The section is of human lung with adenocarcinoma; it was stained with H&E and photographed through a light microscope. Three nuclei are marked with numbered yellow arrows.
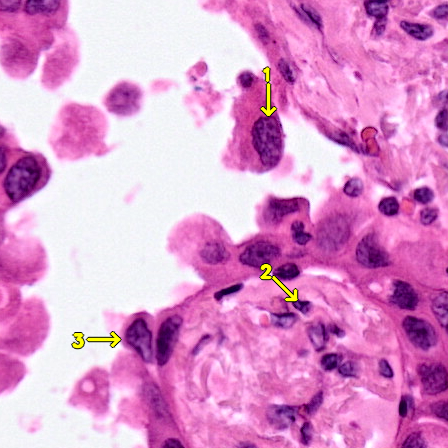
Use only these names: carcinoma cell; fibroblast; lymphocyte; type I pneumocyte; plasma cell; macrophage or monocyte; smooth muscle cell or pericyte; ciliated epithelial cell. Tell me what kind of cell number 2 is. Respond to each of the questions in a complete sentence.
Corresponding to a lymphocyte is the cell labelled 2.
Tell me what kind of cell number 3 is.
At number 3, the marked cell is a carcinoma cell.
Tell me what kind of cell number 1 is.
The label 1 in this section denotes a carcinoma cell.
